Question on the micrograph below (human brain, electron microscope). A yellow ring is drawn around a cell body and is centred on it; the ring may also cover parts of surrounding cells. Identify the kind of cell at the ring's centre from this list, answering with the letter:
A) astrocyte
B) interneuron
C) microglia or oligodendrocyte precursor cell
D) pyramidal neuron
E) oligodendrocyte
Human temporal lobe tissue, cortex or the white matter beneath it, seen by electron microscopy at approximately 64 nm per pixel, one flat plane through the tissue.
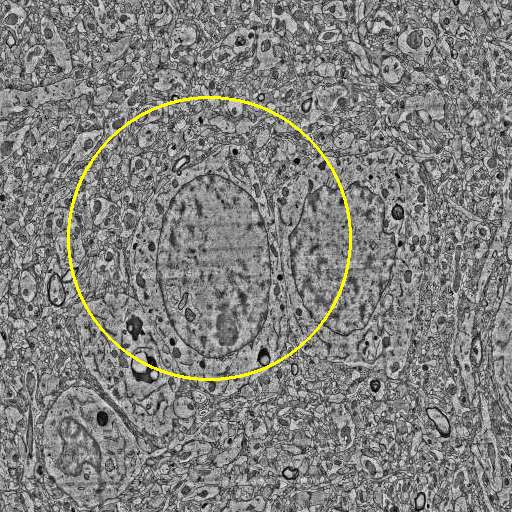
D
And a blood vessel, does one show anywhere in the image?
No, no vessel shows anywhere in the image.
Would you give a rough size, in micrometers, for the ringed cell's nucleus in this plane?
The nucleus of the ringed cell is approximately 12 by 8 micrometres in this plane.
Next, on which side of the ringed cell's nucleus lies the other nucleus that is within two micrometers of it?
That second nucleus is to the right of it.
